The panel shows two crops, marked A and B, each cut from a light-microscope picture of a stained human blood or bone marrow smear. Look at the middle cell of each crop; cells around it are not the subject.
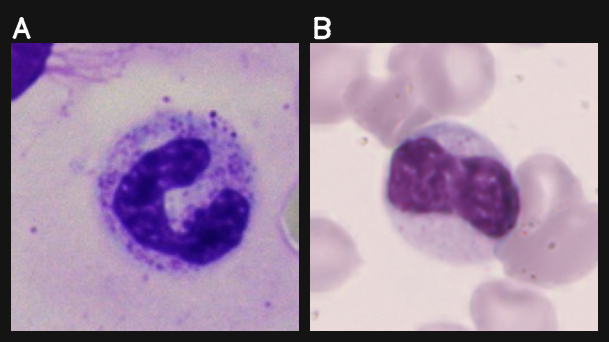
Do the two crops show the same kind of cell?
no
